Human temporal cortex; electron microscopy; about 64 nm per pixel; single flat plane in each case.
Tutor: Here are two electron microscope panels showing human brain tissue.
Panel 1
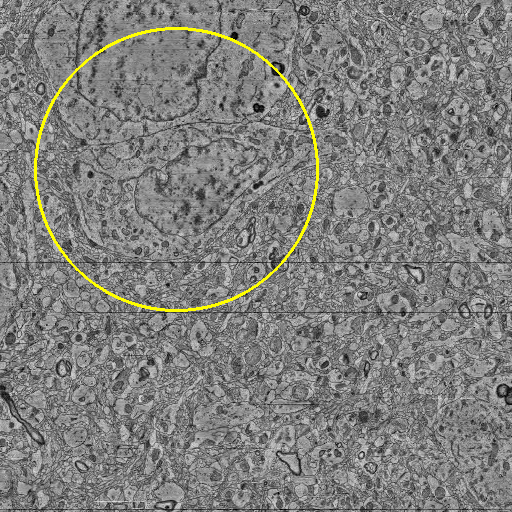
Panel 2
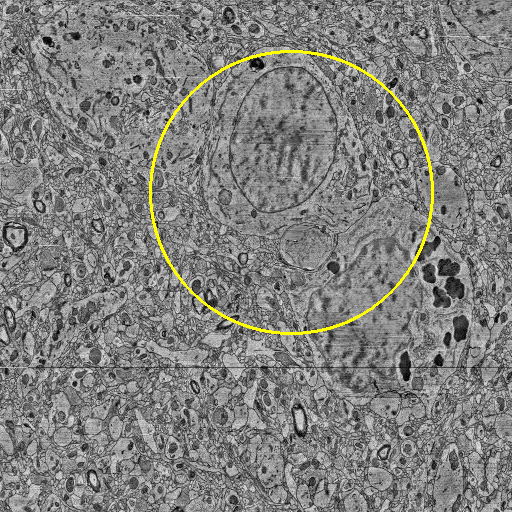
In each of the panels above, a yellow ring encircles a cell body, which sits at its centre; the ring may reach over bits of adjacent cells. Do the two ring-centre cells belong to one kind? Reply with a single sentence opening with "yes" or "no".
No, the two cells sitting at the ring centres in the panels belong to two kinds.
